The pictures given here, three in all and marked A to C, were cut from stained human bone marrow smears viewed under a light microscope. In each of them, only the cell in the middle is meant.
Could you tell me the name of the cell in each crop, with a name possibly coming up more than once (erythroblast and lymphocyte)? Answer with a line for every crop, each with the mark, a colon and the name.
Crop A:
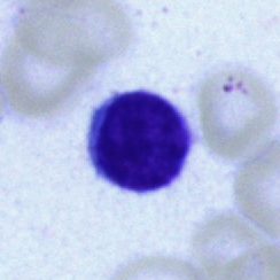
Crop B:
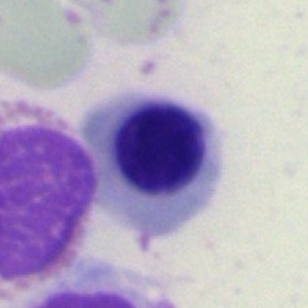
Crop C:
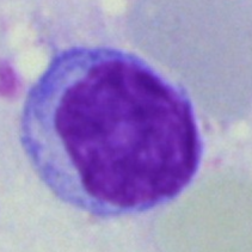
A: lymphocyte
B: erythroblast
C: lymphocyte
